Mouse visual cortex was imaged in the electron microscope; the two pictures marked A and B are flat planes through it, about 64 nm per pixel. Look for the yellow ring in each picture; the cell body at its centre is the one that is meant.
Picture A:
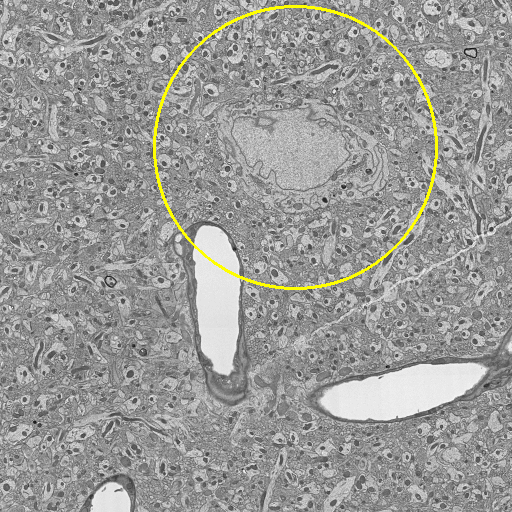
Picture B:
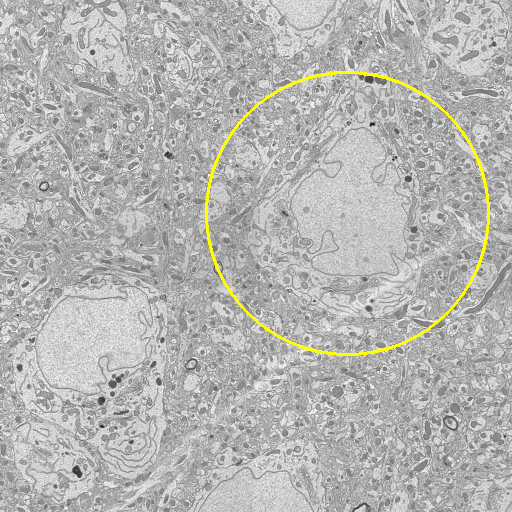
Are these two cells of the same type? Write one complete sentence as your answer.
Yes, both cells are inhibitory neurons.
